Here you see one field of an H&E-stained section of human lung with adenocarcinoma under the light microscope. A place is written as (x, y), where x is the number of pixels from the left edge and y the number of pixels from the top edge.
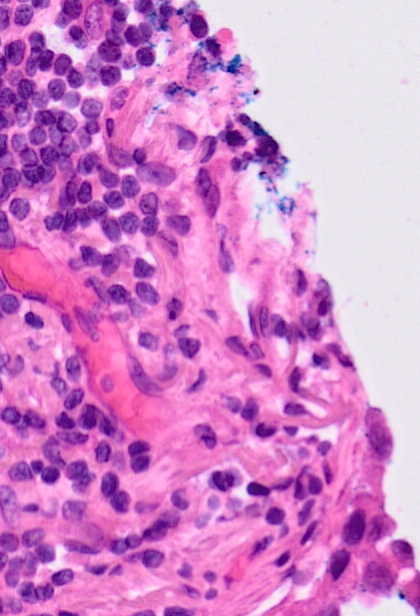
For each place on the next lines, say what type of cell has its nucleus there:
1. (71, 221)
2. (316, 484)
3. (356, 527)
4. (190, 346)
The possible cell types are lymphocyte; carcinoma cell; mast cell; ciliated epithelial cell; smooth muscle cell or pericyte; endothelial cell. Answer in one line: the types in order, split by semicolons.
lymphocyte; lymphocyte; carcinoma cell; lymphocyte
